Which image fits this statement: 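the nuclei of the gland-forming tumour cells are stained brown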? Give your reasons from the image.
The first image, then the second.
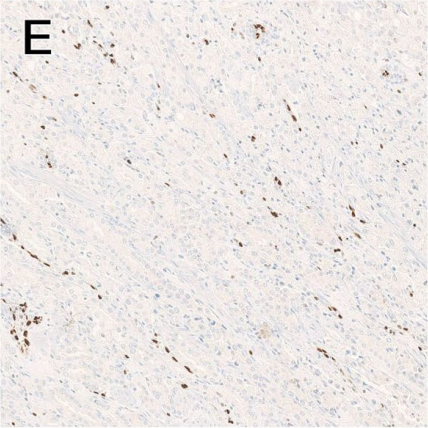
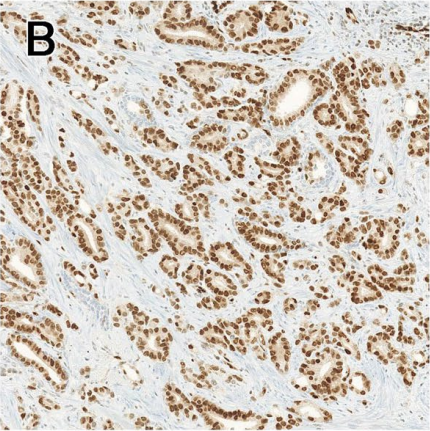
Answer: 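First image: gland cells are unstained, only a few scattered stromal nuclei are brown. Second image: nearly all nuclei lining the glands are dark brown. On this evidence: the second image.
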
